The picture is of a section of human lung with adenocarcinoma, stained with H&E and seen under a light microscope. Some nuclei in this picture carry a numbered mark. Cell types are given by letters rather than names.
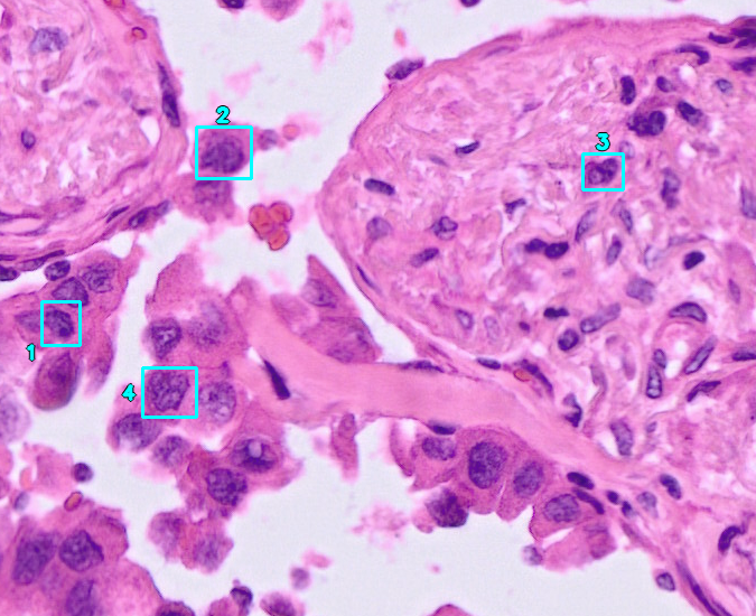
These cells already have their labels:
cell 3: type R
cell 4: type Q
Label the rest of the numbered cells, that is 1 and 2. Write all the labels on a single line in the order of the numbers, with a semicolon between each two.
type Q; type Q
